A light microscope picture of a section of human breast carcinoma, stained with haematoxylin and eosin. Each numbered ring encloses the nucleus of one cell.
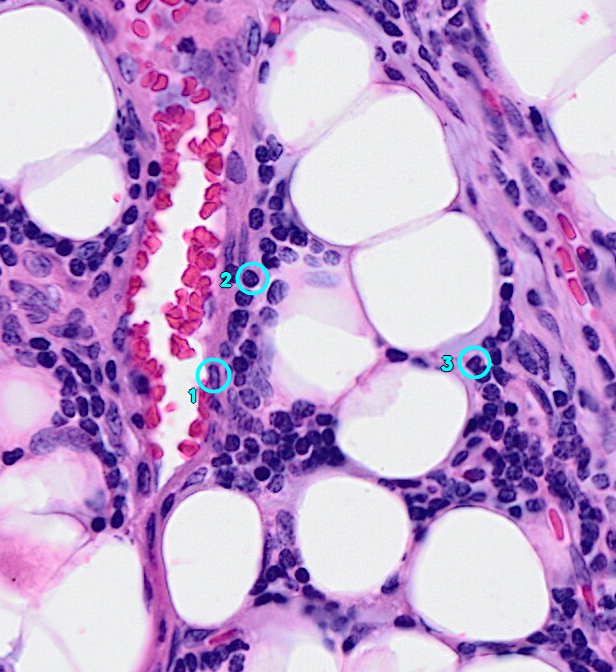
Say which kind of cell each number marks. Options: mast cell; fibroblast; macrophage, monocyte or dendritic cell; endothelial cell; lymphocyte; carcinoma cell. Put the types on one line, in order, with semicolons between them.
endothelial cell; lymphocyte; lymphocyte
